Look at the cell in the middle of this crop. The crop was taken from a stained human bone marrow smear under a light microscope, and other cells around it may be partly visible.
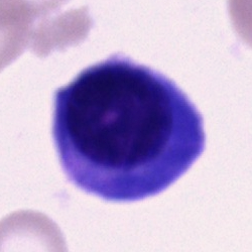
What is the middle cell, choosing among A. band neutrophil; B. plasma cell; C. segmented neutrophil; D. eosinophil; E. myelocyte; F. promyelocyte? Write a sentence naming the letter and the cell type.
The correct identification, given in option B, is that the central cell is a plasma cell.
